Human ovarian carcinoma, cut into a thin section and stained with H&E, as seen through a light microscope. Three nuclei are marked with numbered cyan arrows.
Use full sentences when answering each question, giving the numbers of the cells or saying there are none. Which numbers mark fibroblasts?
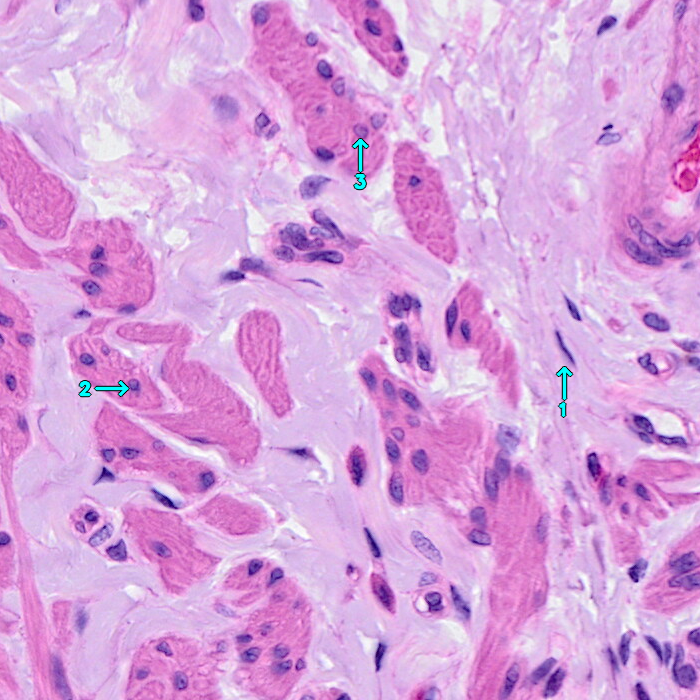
Only the cell carrying number 1 is a fibroblast.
